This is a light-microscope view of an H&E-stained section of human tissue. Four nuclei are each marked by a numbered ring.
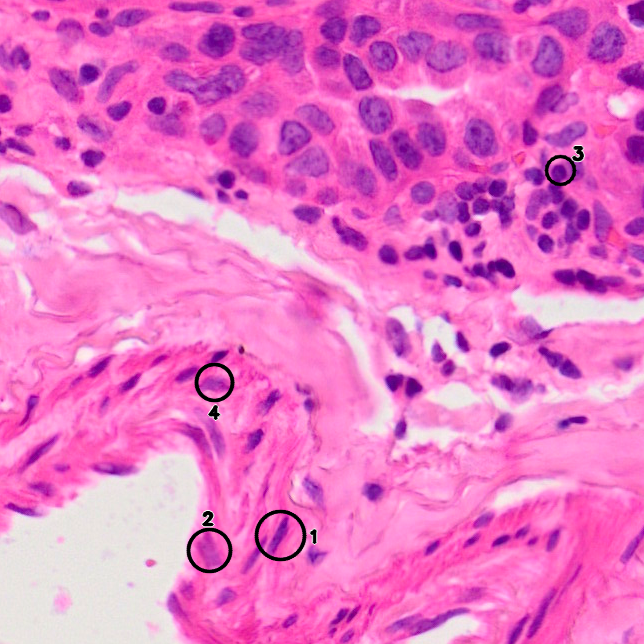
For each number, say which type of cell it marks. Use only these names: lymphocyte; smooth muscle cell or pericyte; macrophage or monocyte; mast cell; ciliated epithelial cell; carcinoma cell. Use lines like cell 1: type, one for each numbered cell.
cell 1: smooth muscle cell or pericyte
cell 2: smooth muscle cell or pericyte
cell 3: lymphocyte
cell 4: smooth muscle cell or pericyte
